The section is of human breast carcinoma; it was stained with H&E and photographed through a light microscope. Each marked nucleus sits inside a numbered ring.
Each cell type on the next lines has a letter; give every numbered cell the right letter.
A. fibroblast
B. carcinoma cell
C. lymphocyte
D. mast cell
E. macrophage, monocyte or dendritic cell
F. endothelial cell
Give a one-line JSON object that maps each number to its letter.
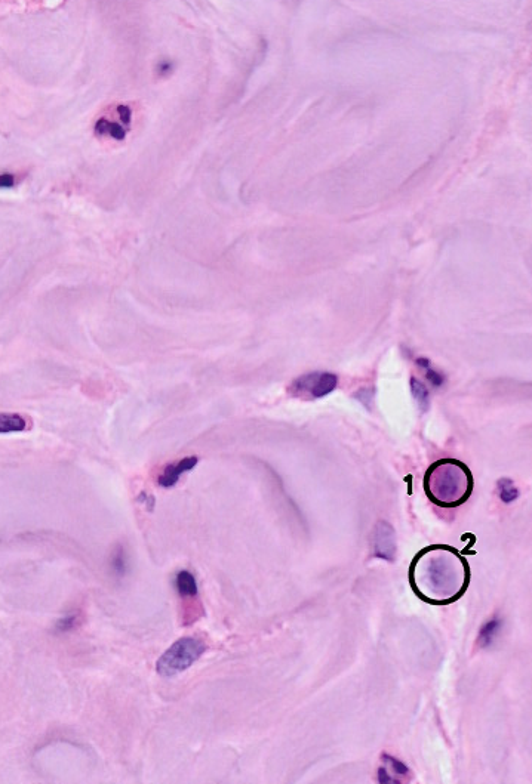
{"1": "D", "2": "A"}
